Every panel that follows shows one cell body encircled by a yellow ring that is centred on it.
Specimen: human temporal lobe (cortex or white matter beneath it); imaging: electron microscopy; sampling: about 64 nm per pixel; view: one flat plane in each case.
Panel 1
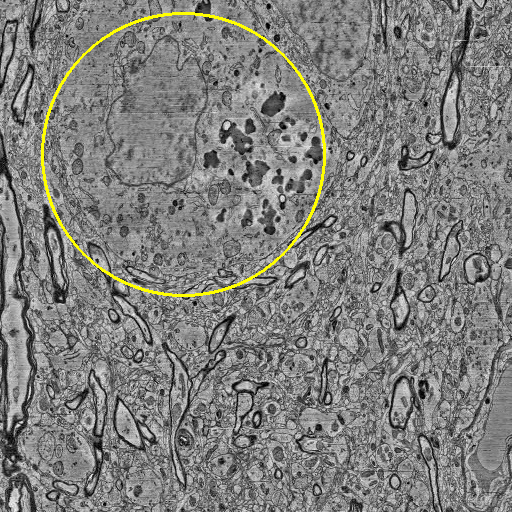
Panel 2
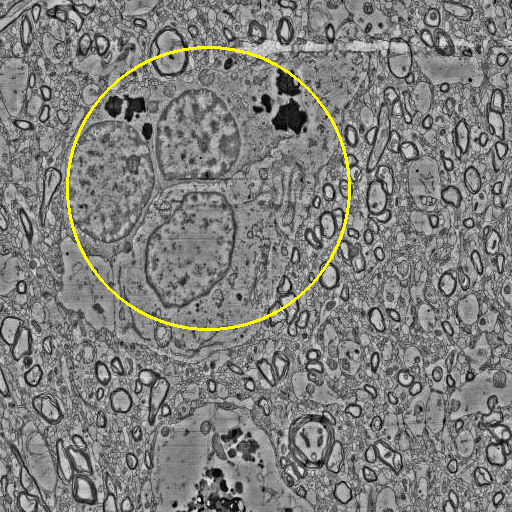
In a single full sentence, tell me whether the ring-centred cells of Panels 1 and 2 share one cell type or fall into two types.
In Panel 1 and Panel 2, the cells at the ring centres share one cell type.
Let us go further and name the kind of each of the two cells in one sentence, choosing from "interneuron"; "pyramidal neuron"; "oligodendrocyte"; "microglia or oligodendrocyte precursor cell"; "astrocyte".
Both pictures show a pyramidal neuron at the centre of the ring.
